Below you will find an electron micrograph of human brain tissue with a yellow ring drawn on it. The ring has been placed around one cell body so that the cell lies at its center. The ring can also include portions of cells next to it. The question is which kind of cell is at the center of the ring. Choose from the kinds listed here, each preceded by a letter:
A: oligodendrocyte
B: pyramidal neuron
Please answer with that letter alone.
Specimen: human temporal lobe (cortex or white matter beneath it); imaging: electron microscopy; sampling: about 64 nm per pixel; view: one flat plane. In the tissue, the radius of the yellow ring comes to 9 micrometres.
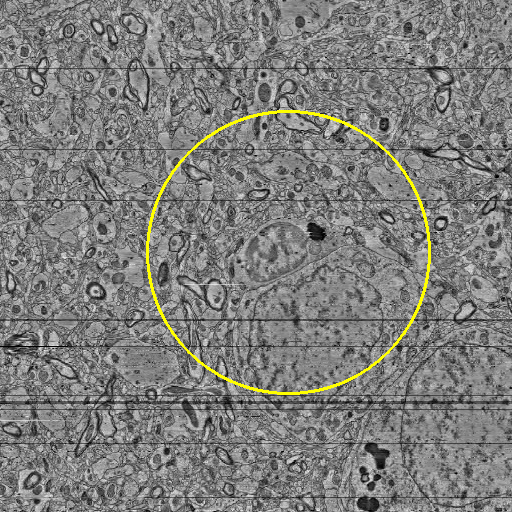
A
